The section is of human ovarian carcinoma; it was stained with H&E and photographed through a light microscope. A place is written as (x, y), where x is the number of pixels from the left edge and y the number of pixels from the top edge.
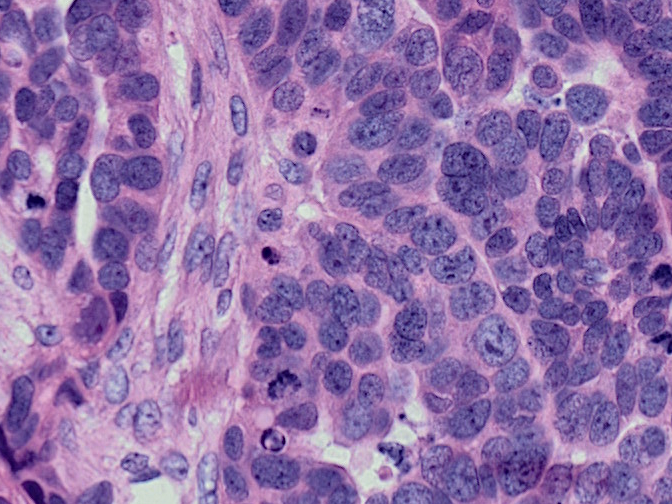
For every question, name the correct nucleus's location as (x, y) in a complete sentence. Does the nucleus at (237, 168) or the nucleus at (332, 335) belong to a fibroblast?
The nucleus at (237, 168) is identified as belonging to a fibroblast.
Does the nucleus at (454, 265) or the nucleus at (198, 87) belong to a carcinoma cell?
The nucleus at (454, 265) is the one of the two that belongs to a carcinoma cell.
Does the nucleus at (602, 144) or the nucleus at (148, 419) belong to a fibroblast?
The nucleus at (148, 419), rather than the other one, belongs to a fibroblast.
